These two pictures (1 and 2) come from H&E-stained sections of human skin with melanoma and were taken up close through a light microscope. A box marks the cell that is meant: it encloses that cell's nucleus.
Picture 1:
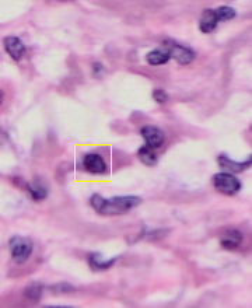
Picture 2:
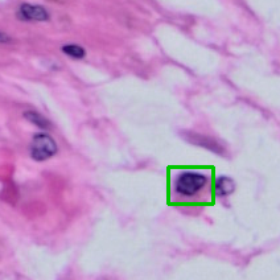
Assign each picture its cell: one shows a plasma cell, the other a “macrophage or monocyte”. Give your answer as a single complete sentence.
The cell in picture 1 is a plasma cell, and the one in picture 2 is a “macrophage or monocyte”.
